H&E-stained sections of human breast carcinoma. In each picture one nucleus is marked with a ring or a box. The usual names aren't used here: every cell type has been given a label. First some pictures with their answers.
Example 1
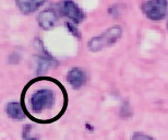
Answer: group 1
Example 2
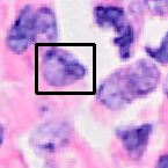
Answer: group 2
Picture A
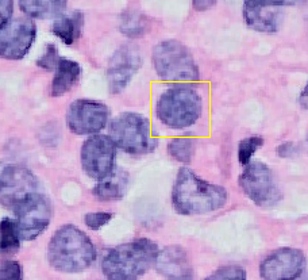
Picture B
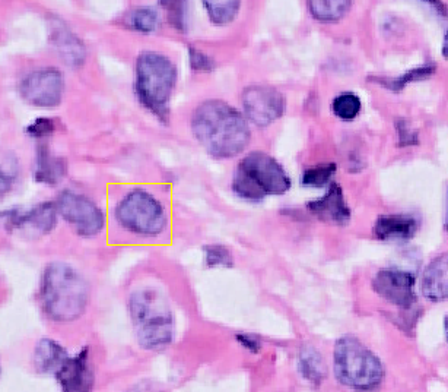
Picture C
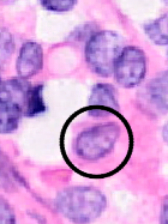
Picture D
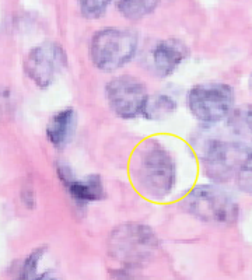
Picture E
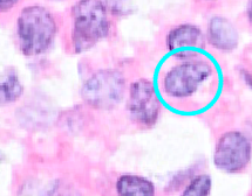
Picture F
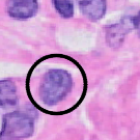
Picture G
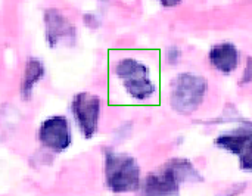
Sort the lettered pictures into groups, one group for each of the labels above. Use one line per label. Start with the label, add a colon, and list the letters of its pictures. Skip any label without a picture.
group 1: G
group 2: A, B, C, D, E, F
